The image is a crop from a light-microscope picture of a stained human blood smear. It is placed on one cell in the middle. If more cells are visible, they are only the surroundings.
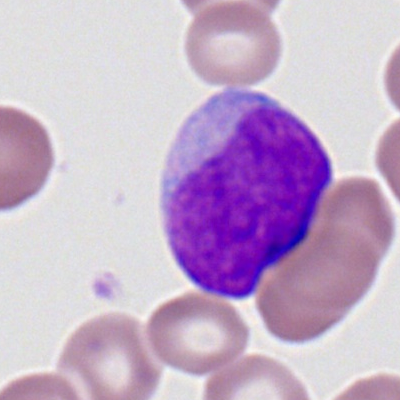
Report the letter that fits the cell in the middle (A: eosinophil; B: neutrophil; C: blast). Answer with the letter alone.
C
